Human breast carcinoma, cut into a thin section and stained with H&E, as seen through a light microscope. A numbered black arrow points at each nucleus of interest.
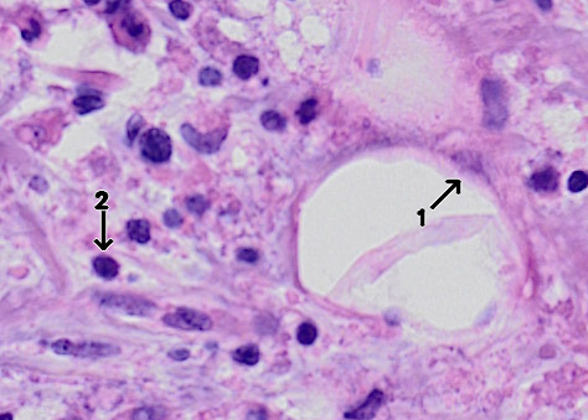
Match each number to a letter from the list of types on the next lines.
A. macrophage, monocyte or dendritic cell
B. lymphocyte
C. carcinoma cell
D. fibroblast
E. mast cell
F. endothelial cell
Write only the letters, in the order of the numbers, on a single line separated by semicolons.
D; B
